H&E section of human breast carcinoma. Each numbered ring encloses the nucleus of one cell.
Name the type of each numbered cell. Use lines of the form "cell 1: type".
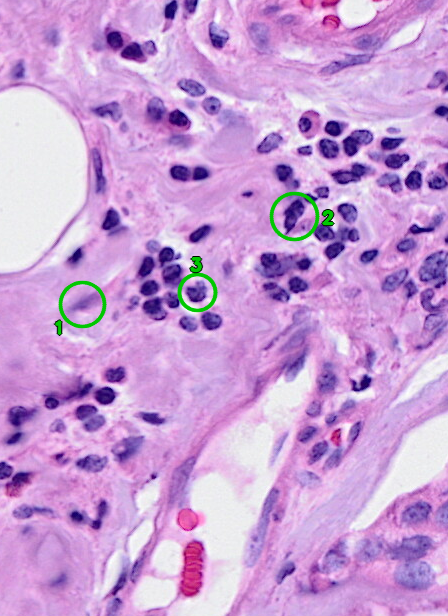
cell 1: fibroblast
cell 2: lymphocyte
cell 3: lymphocyte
